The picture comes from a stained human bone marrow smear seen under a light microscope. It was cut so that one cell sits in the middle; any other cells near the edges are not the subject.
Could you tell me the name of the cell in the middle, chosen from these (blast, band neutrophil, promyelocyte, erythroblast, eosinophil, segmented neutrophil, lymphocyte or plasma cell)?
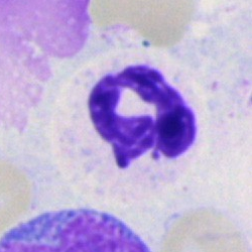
segmented neutrophil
